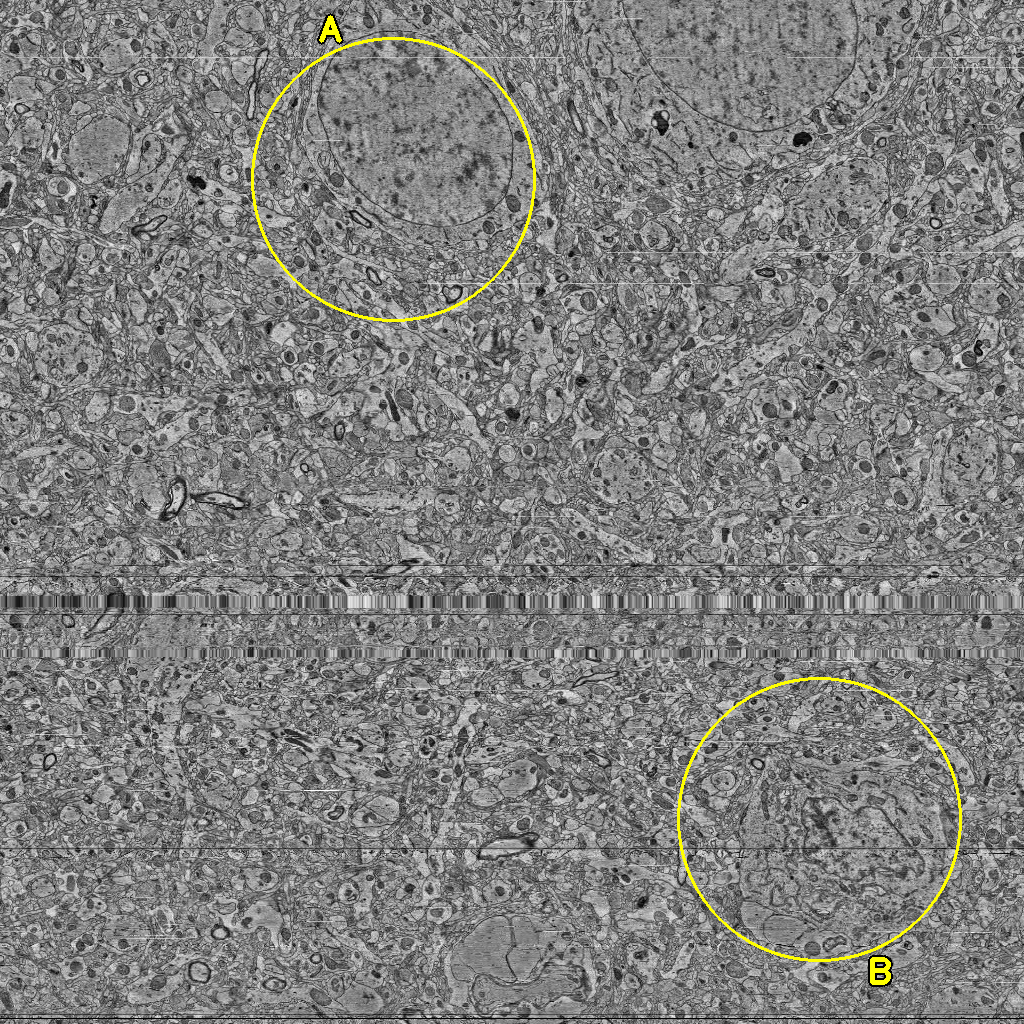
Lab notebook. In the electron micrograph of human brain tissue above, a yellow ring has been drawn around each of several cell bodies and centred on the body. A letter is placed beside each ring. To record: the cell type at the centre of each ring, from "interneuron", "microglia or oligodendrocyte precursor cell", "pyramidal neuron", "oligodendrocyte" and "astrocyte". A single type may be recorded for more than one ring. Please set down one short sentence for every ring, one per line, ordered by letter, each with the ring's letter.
The centre of ring A is occupied by a pyramidal neuron.
The centre of ring B is occupied by an interneuron.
